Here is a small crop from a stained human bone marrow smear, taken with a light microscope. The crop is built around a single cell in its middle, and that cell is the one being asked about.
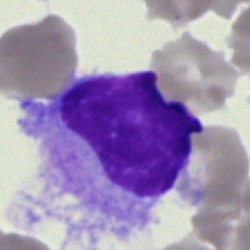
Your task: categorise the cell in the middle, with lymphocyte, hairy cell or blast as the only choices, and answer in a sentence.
The central cell in this smear crop is a hairy cell.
